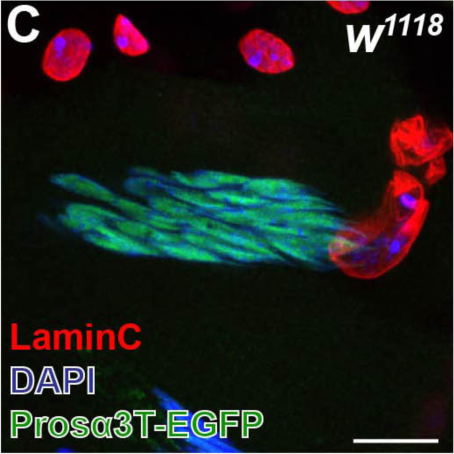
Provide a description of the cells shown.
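A bundle of elongating spermatid nuclei at an early canoe-like stage lies across the middle of the field. The nuclei are long and slender, tapered at their ends, and packed side by side in parallel, each filled with blue-green signal. At one end of the bundle lie folded, crumpled red sheets of nuclear envelope with a few small blue dots. Along the top edge sit several separate round nuclei with a strong red rim and blue chromatin spots, clearly unlike the narrow nuclei of the bundle. Another blue bundle edge appears at the lower left.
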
